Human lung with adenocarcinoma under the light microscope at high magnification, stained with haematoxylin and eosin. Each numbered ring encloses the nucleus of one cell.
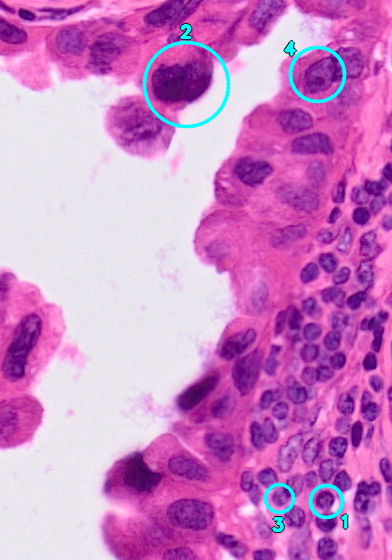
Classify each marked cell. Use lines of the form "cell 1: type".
cell 1: lymphocyte
cell 2: carcinoma cell
cell 3: lymphocyte
cell 4: carcinoma cell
